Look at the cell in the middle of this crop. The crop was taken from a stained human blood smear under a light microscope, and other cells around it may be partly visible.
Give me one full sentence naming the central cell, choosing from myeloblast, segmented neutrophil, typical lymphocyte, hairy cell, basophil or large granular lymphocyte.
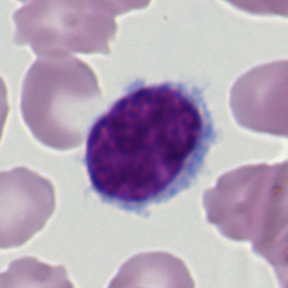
By type, the central cell of the crop is a hairy cell.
